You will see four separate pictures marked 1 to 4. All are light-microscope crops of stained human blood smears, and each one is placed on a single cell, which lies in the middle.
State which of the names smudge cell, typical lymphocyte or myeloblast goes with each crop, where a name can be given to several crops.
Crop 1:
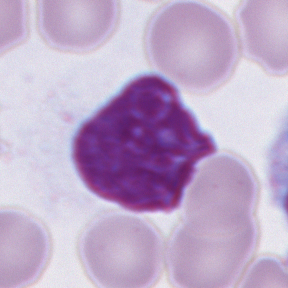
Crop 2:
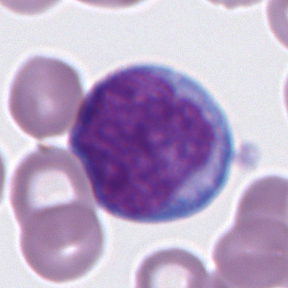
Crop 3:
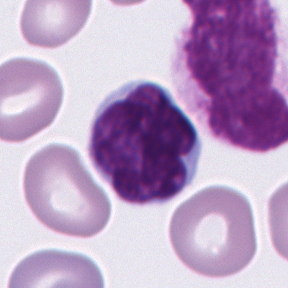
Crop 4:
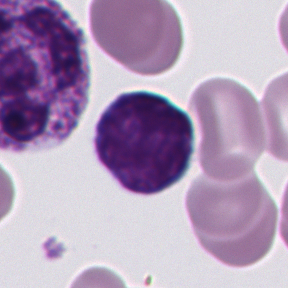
1: smudge cell
2: myeloblast
3: typical lymphocyte
4: typical lymphocyte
